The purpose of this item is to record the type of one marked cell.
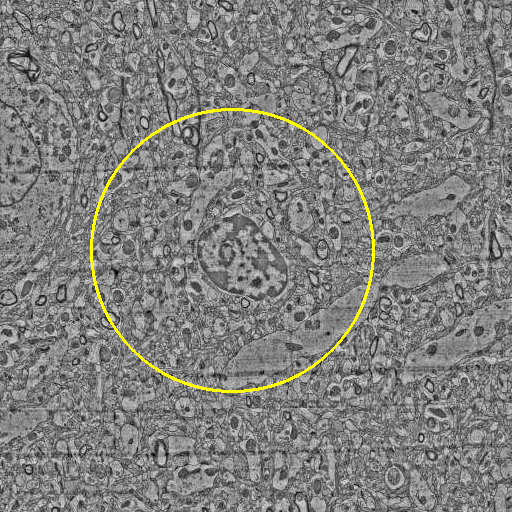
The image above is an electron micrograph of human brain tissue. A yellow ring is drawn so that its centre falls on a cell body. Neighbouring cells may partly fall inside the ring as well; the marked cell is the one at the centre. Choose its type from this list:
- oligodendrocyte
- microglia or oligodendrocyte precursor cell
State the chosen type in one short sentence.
What the ring marks here is a microglial cell or oligodendrocyte precursor cell.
